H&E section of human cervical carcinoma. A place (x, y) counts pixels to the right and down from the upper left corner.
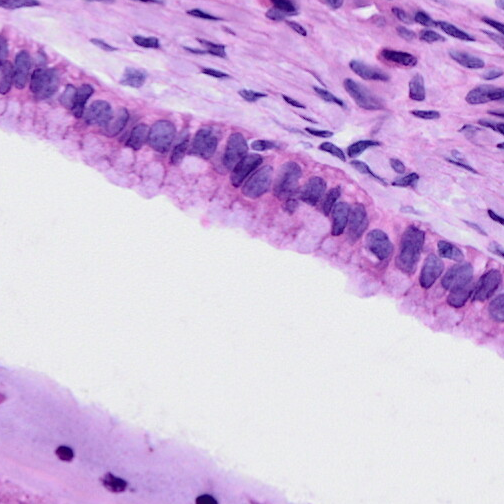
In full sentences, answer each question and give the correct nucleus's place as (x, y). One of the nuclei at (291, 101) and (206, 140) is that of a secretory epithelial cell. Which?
The nucleus of a secretory epithelial cell lies at (206, 140), not at the other position.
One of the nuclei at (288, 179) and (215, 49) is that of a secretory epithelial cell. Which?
Which one belongs to a secretory epithelial cell? The nucleus at (288, 179) does.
